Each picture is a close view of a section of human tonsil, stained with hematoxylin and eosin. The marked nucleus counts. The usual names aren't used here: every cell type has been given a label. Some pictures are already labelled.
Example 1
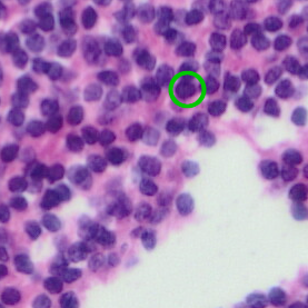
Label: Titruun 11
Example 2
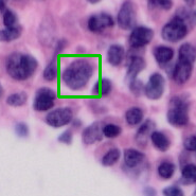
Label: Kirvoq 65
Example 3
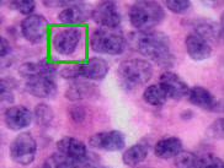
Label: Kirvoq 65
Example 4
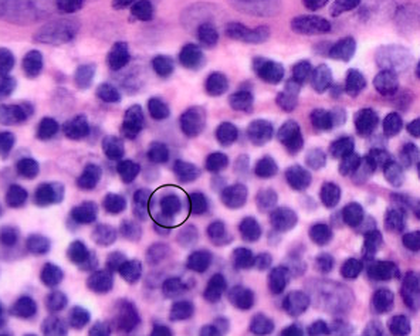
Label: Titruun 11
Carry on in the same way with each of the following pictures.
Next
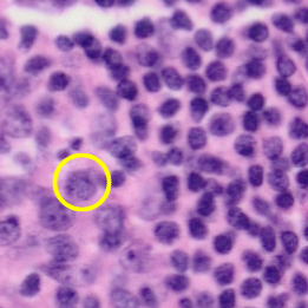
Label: Kirvoq 65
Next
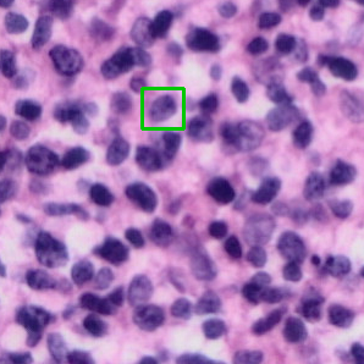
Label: Kirvoq 65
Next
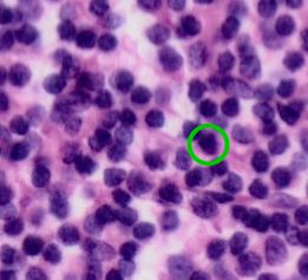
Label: Titruun 11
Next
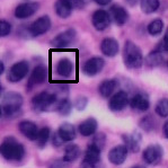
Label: Titruun 11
